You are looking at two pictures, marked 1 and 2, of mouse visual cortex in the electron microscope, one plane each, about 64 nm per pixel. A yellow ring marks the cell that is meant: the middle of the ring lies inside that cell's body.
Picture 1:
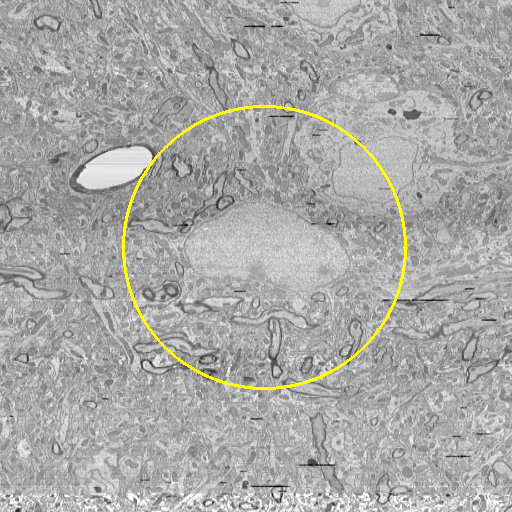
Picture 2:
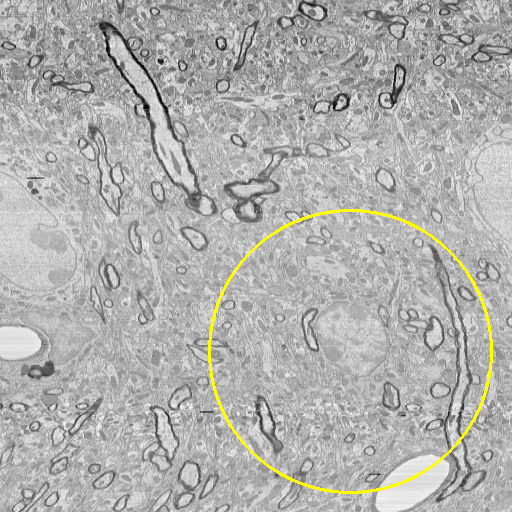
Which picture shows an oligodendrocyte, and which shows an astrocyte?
Picture 1 is of an astrocyte, and picture 2 is of an oligodendrocyte.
